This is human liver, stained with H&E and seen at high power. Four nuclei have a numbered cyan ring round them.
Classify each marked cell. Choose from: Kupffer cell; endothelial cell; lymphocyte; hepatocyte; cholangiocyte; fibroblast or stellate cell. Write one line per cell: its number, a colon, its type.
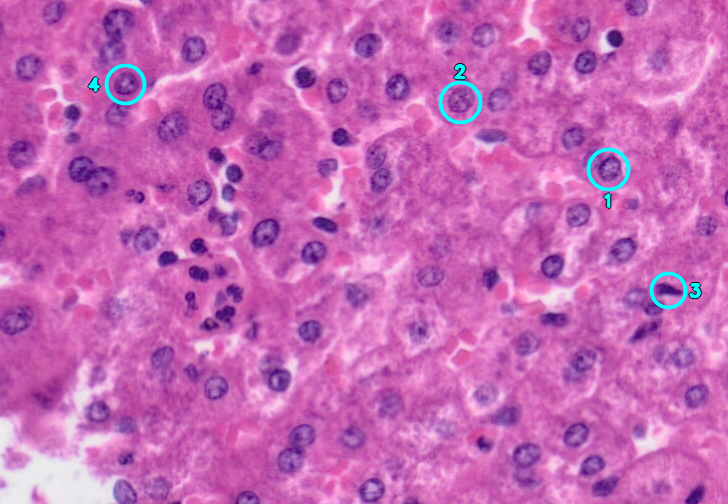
1: hepatocyte
2: hepatocyte
3: fibroblast or stellate cell
4: hepatocyte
